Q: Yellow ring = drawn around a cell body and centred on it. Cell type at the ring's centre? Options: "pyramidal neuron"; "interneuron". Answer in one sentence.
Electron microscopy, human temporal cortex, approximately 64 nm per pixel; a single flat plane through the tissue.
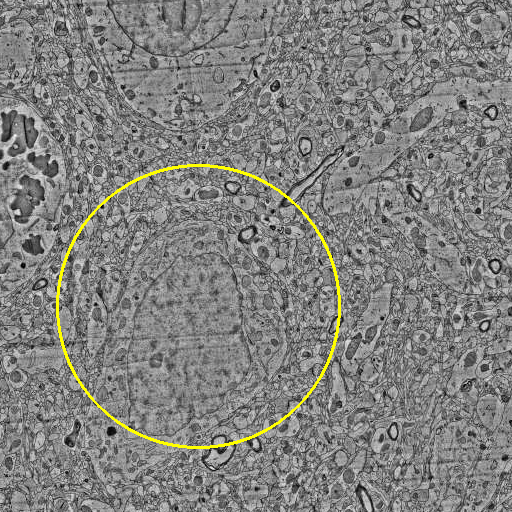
Centred in the ring is an interneuron.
